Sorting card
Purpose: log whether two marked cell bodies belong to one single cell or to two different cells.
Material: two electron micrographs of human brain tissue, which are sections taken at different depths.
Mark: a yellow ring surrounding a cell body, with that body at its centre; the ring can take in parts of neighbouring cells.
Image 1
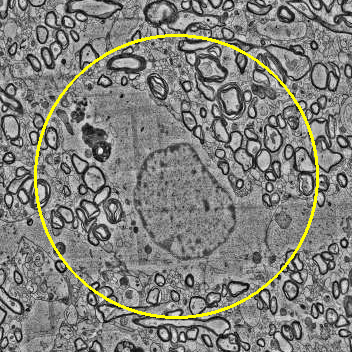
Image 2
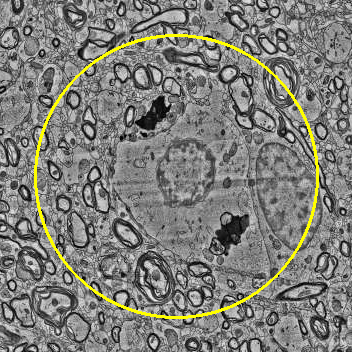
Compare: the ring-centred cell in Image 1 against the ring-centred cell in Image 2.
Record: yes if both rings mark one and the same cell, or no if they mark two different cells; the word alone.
no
